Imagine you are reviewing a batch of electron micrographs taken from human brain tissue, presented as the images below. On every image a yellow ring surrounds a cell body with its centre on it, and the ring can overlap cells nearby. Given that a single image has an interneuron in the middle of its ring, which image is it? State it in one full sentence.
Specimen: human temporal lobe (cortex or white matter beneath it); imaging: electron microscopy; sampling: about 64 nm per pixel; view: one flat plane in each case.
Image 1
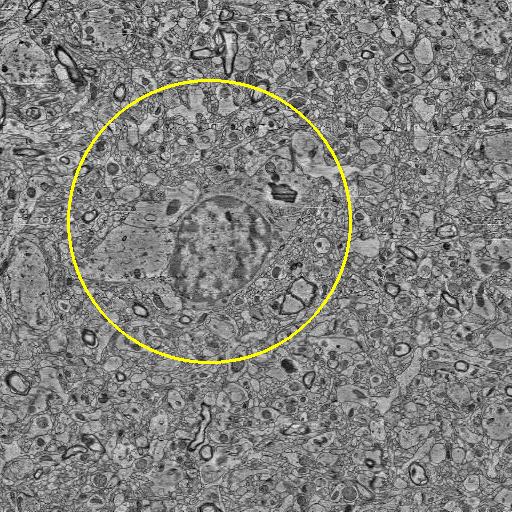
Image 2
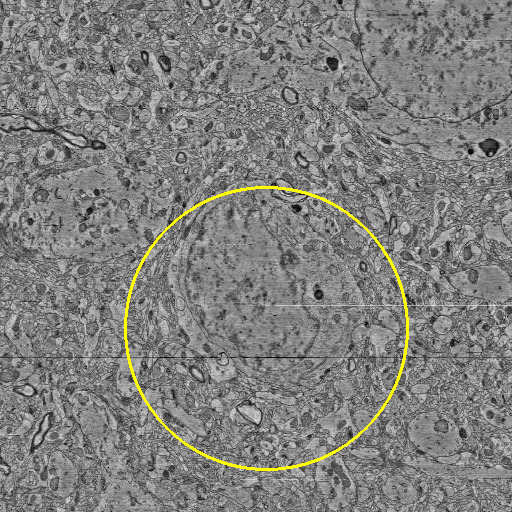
Of all the images, number 2 has the described cell at the centre of its ring.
